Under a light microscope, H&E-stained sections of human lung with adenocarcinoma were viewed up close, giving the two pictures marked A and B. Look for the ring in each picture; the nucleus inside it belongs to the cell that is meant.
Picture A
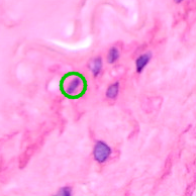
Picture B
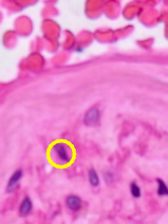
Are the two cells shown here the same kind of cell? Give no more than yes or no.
yes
